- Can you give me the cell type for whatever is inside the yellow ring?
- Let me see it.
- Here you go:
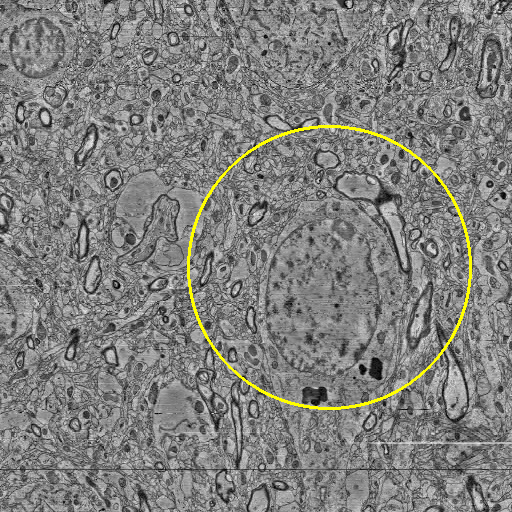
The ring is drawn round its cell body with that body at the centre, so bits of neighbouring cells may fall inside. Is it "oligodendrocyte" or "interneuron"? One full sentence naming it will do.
The cell body in the middle of the ring in this picture belongs to an interneuron.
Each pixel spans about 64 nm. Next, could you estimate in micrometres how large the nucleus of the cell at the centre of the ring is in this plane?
In this plane the nucleus is about 11 micrometres by 7.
